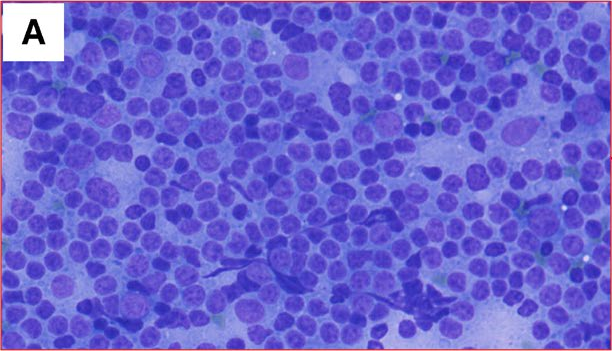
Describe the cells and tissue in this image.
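The cells lie singly and closely packed, without forming cohesive clusters. Most have round purple nuclei with only a thin rim of pale blue cytoplasm. Among them are scattered larger cells with bigger, paler, more open nuclei. A few smeared, elongated dark strands of crushed nuclear material run through the field. The background between the cells is pale lilac.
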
